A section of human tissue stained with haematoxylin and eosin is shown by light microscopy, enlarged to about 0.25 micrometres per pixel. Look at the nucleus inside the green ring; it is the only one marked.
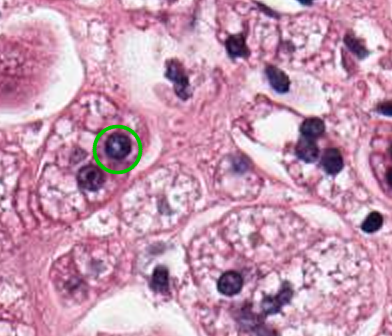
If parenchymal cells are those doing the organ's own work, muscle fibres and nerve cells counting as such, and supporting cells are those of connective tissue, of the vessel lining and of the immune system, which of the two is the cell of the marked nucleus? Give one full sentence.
It is to an adrenal cortical cell, a parenchymal cell, that the marked nucleus belongs.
